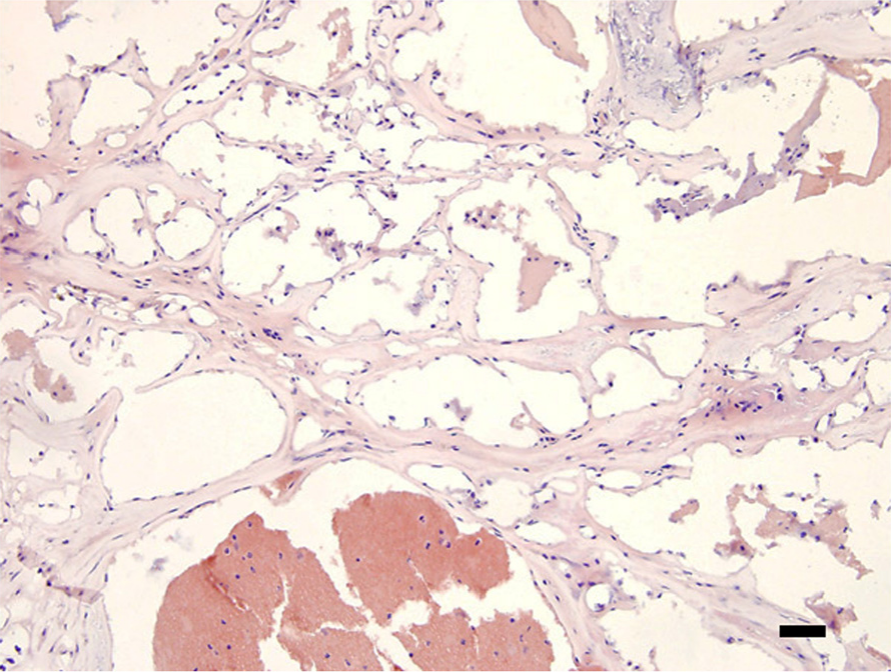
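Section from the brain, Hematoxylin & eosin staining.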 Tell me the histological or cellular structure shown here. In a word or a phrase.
multiple blood vessels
